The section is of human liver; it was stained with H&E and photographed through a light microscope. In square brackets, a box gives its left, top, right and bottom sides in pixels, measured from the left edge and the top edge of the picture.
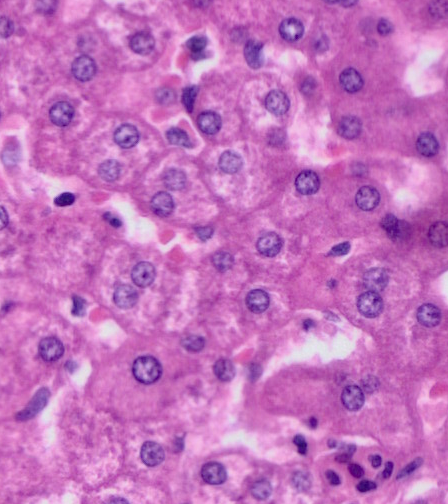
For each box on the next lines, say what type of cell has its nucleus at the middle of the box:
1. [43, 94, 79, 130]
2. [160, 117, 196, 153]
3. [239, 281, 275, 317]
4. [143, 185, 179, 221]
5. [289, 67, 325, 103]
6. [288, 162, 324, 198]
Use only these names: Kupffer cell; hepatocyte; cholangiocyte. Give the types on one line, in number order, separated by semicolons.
hepatocyte; Kupffer cell; hepatocyte; hepatocyte; Kupffer cell; hepatocyte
